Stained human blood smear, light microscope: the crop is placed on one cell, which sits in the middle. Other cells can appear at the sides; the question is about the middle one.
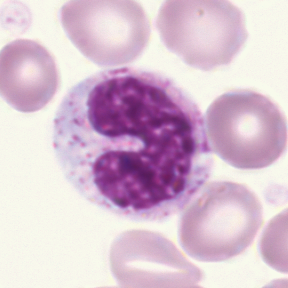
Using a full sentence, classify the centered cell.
By classification, the middle cell of this crop is a band neutrophil.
